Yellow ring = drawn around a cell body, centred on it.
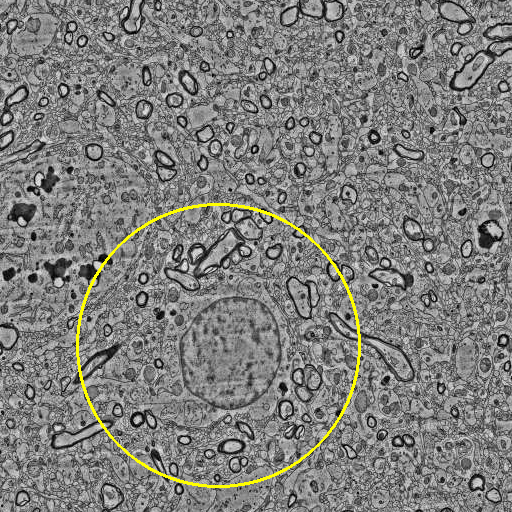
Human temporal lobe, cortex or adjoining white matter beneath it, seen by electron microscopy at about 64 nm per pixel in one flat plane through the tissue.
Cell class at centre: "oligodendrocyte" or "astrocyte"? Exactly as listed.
astrocyte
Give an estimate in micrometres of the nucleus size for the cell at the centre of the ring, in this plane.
In this plane the nucleus measures roughly 7 micrometres across.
